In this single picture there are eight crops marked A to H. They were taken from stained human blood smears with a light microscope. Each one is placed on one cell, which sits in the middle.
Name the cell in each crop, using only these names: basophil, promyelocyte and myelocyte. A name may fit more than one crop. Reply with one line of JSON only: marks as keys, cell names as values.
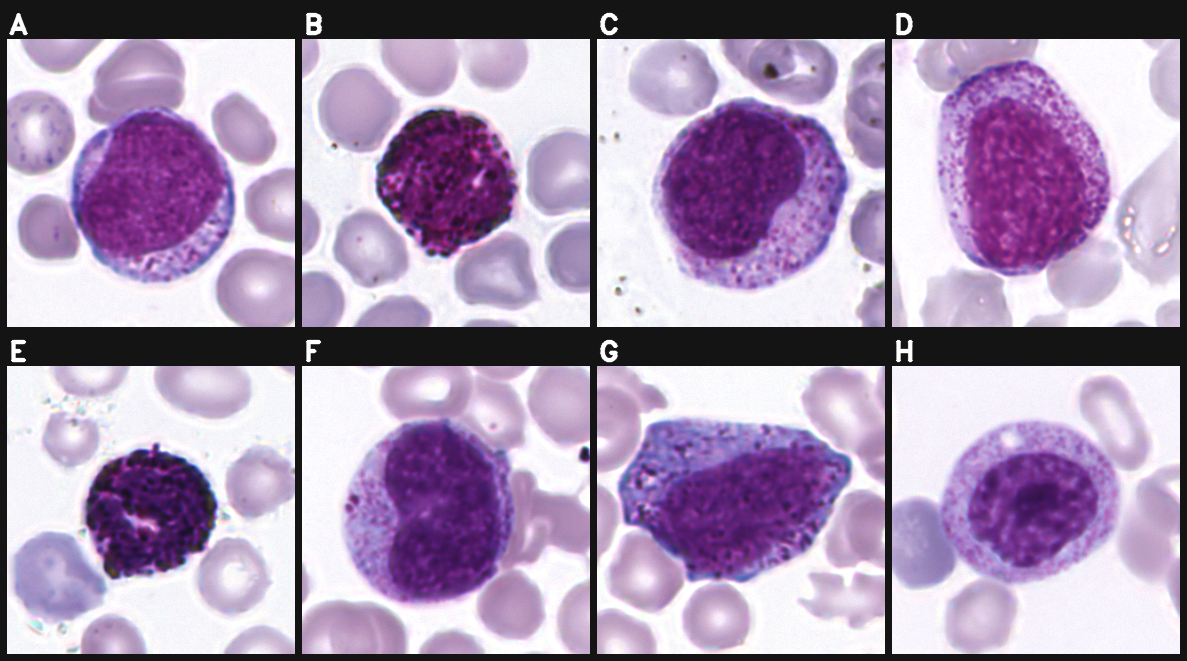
{"A": "promyelocyte", "B": "basophil", "C": "promyelocyte", "D": "promyelocyte", "E": "basophil", "F": "myelocyte", "G": "promyelocyte", "H": "myelocyte"}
